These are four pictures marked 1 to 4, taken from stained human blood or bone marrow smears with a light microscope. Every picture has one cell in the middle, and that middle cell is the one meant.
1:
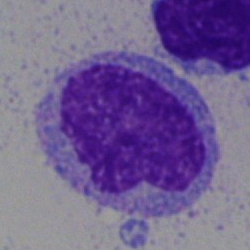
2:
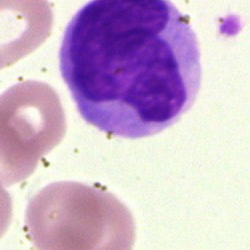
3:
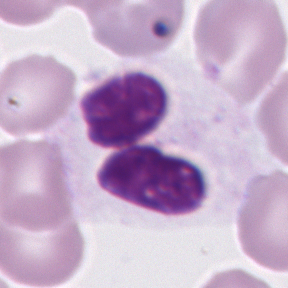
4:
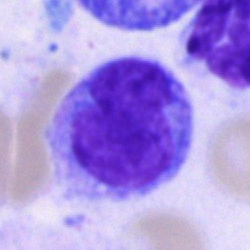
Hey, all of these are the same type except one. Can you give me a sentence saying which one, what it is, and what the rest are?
Crop 3 is the only one that is a neutrophil; all the others show monocytes.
